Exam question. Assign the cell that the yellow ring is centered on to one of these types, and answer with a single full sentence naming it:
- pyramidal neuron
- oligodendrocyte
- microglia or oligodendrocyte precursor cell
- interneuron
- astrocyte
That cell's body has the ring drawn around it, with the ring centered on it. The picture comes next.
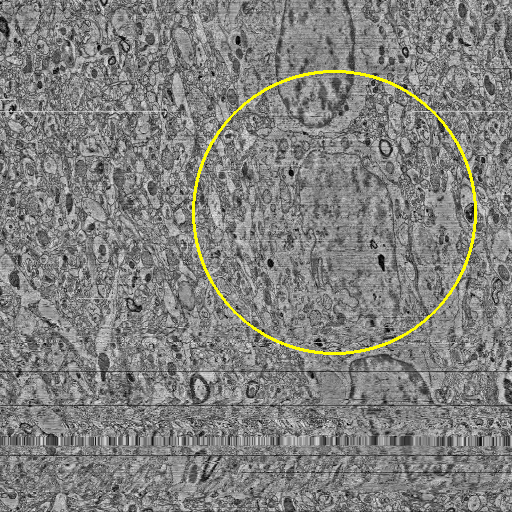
In the micrograph, the cell the yellow ring is centered on is an interneuron.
